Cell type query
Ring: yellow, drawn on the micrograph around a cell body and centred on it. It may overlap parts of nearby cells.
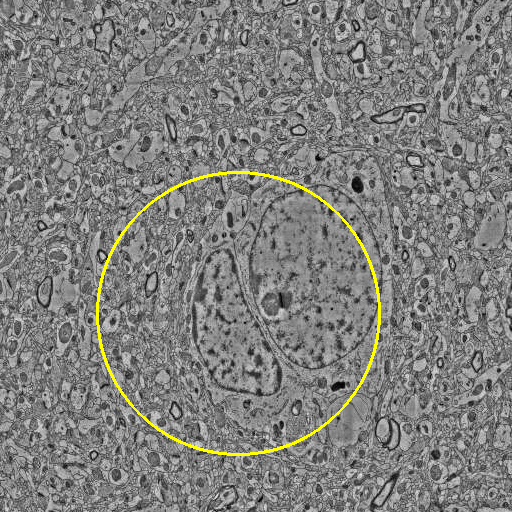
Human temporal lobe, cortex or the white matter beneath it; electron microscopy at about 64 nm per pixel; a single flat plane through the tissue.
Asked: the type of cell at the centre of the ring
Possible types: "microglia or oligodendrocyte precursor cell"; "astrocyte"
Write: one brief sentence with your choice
The ring marks a microglial cell or oligodendrocyte precursor cell.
